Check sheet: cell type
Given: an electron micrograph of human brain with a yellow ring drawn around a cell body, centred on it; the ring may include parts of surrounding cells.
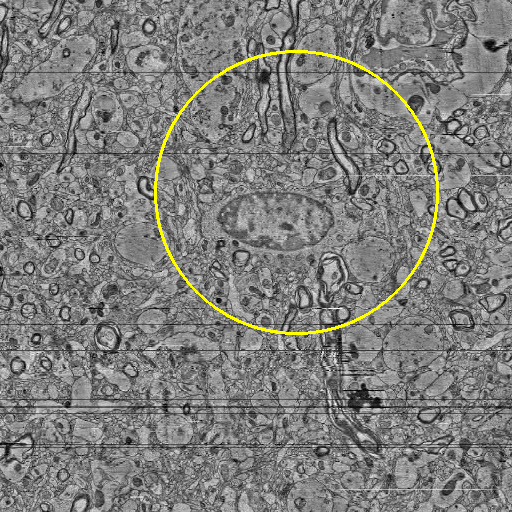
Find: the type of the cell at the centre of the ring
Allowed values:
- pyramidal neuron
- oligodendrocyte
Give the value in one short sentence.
Here the ringed cell is an oligodendrocyte.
